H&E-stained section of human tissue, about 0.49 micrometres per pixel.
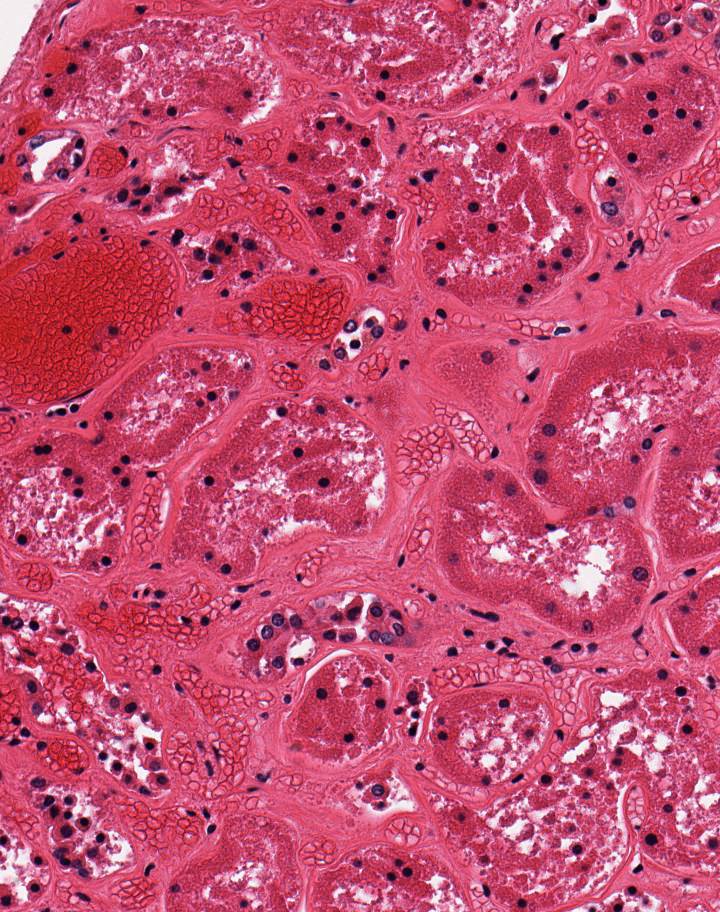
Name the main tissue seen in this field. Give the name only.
cortical labyrinth of the kidney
